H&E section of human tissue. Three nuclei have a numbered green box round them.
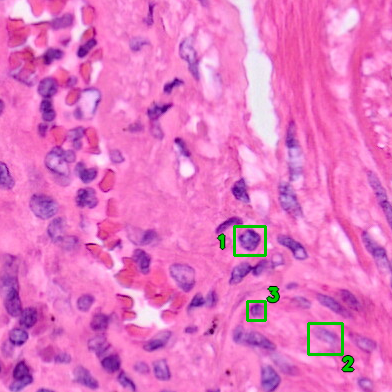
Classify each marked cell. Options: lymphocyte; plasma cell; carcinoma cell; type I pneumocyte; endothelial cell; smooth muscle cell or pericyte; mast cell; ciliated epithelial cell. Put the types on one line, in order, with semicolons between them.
mast cell; smooth muscle cell or pericyte; smooth muscle cell or pericyte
